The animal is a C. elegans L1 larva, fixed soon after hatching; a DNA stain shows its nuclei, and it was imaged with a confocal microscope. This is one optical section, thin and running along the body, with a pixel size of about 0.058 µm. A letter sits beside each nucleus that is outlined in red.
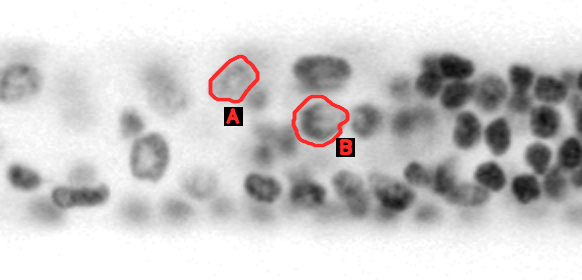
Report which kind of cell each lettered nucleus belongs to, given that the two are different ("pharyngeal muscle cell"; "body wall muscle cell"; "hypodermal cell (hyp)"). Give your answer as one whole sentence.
A is the nucleus of a hypodermal cell (hyp); B is the nucleus of a pharyngeal muscle cell.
